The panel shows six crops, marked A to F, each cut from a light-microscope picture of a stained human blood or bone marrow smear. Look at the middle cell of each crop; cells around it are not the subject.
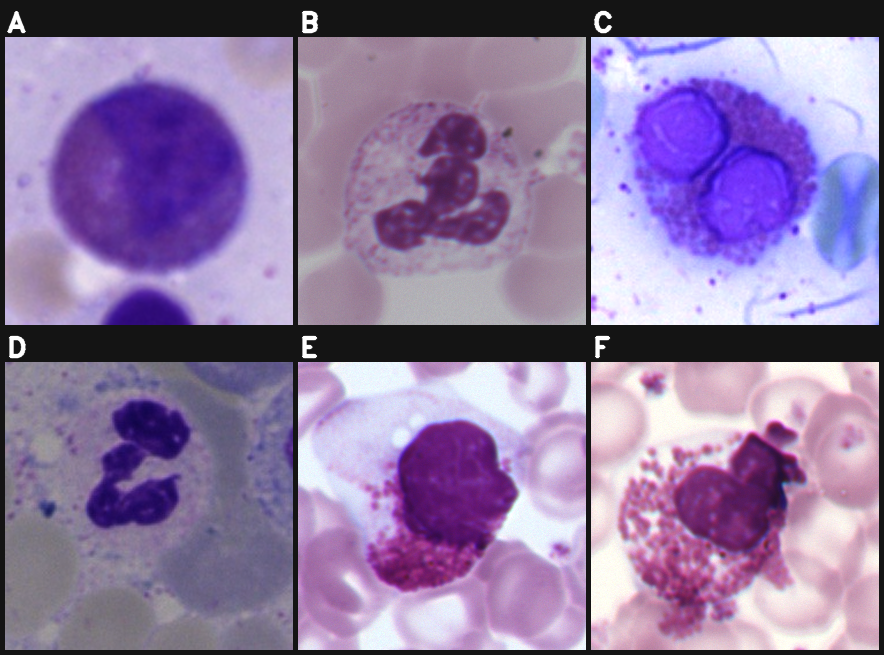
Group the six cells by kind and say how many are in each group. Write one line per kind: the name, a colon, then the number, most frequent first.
eosinophil: 4
segmented neutrophil: 2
